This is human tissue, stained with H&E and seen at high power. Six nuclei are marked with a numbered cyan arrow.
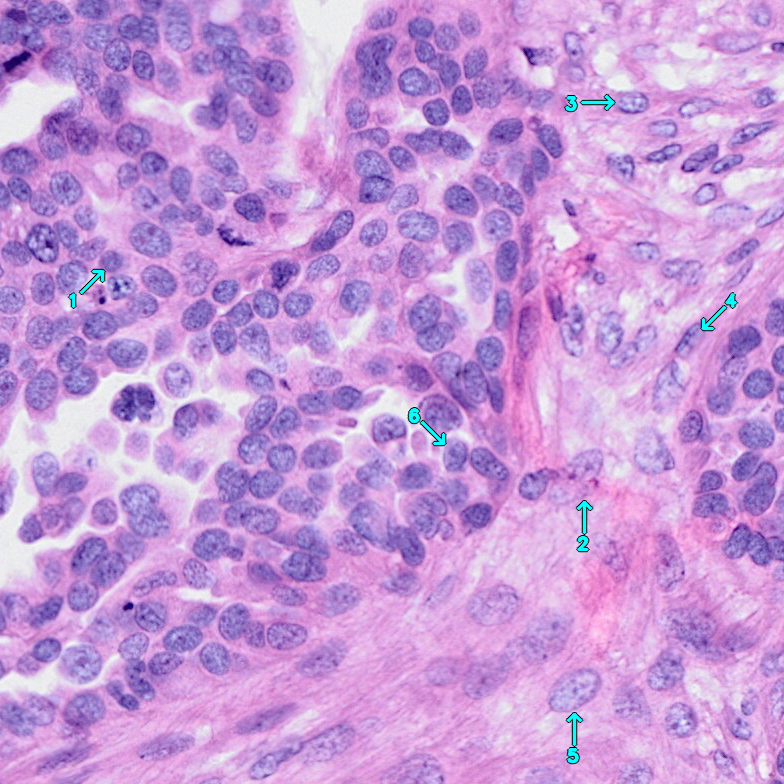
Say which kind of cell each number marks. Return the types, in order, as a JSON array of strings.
["carcinoma cell", "fibroblast", "fibroblast", "fibroblast", "fibroblast", "carcinoma cell"]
